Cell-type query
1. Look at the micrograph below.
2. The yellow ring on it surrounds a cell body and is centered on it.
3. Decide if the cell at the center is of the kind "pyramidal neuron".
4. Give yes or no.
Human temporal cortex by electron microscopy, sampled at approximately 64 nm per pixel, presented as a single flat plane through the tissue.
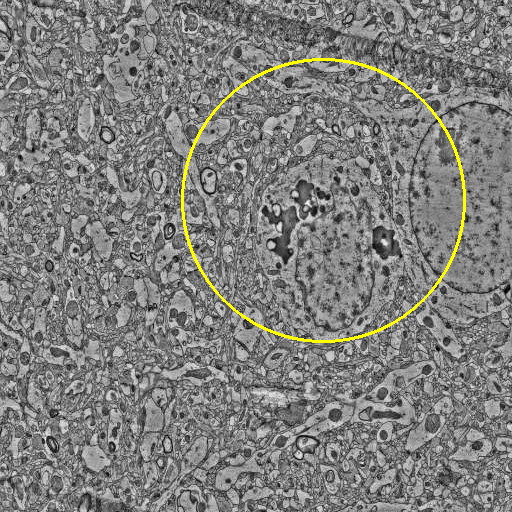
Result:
no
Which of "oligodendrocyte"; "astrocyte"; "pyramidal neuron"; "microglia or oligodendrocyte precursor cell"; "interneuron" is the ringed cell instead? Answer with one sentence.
At the centre of the ring sits an interneuron.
